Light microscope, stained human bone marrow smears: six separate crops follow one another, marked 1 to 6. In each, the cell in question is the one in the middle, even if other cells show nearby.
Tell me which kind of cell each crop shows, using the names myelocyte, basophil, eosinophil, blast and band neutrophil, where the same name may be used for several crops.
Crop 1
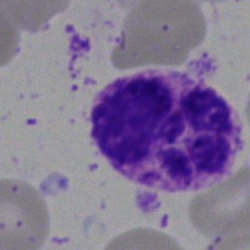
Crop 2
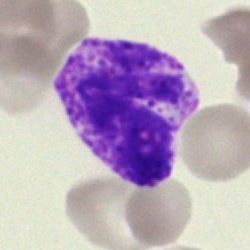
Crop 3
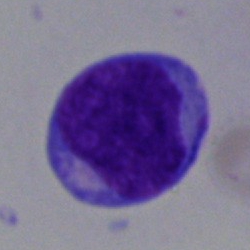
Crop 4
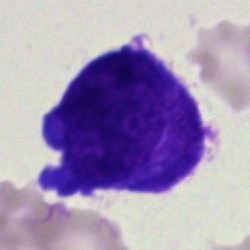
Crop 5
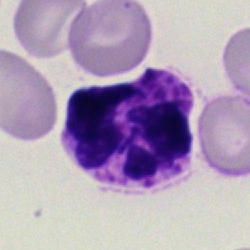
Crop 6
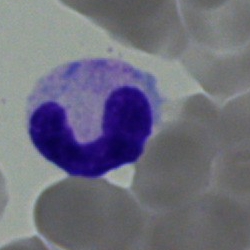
1: basophil
2: basophil
3: blast
4: blast
5: basophil
6: band neutrophil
